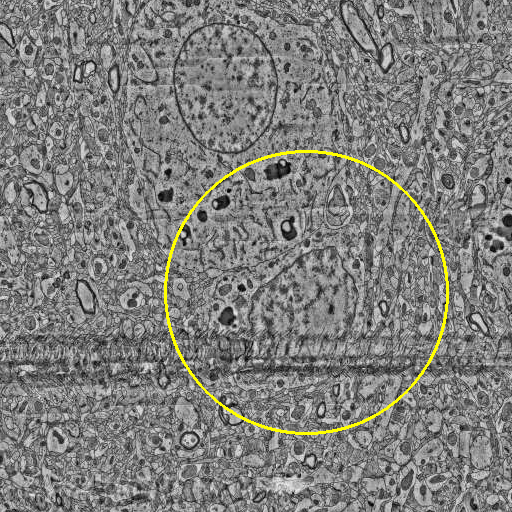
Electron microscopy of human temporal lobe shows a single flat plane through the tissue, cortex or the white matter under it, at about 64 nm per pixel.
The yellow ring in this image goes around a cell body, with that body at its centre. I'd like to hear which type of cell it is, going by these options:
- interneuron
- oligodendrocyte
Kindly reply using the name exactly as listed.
interneuron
